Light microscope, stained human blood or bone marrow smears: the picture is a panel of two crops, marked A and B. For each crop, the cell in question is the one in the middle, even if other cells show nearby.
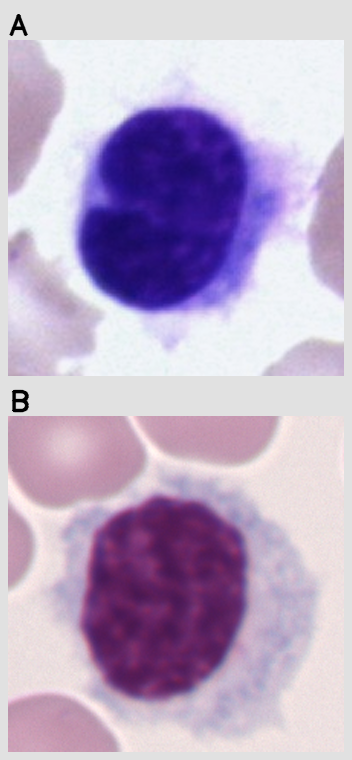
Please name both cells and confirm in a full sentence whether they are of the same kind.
Yes, the two crops share the same answer, hairy cells.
